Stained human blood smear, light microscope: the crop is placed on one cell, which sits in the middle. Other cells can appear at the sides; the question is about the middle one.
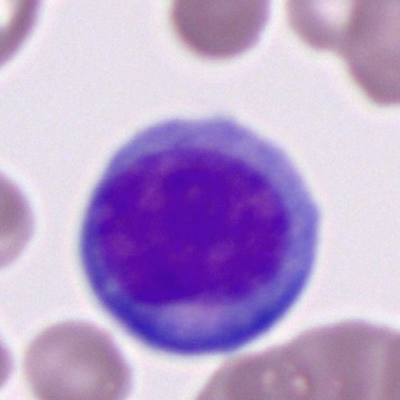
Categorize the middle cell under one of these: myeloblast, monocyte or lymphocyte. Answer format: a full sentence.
In short, the cell at the center is a myeloblast.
